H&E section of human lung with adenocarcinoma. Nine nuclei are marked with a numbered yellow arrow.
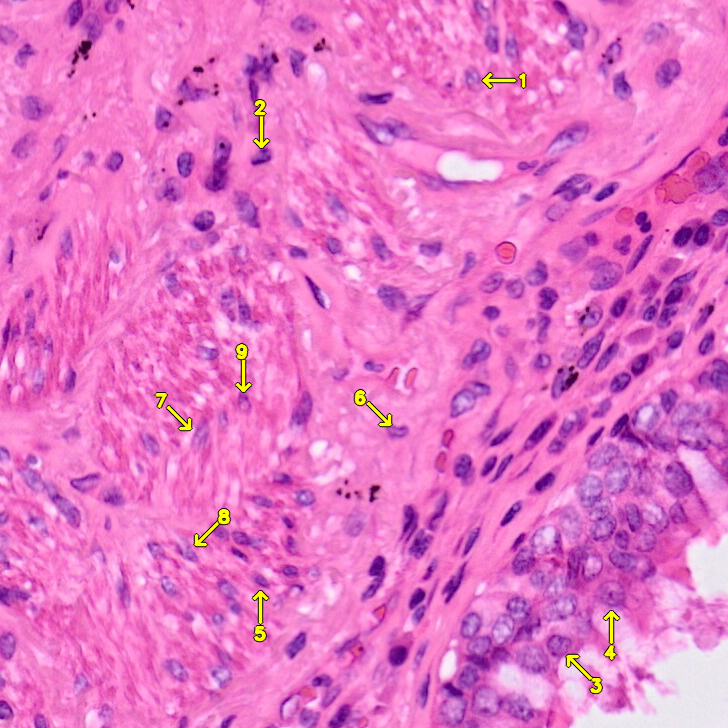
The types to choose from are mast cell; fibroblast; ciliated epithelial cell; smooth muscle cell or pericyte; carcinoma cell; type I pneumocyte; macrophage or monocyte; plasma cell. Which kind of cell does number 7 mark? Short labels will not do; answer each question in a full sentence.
The cell bearing label 7 corresponds to a smooth muscle cell or pericyte.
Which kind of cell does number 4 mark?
The cell that carries the label 4 is a ciliated epithelial cell.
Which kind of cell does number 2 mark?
As for number 2, that cell is a mast cell.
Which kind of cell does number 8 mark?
Identified as a smooth muscle cell or pericyte is the cell bearing the number 8.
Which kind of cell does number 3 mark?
The cell referenced by the number 3 is a ciliated epithelial cell in this field.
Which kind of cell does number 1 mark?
The cell identified by number 1 is a smooth muscle cell or pericyte.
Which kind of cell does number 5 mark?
The cell to which the number 5 is assigned is a smooth muscle cell or pericyte.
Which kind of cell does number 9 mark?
The marked cell with the number 9 is recognised as a smooth muscle cell or pericyte.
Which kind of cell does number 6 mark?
The cell that carries the label 6 is a fibroblast.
